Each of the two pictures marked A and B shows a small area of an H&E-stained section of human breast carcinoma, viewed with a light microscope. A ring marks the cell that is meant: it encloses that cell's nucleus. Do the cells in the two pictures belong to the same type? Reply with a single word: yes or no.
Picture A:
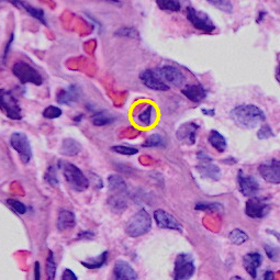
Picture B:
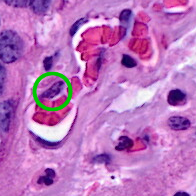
yes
